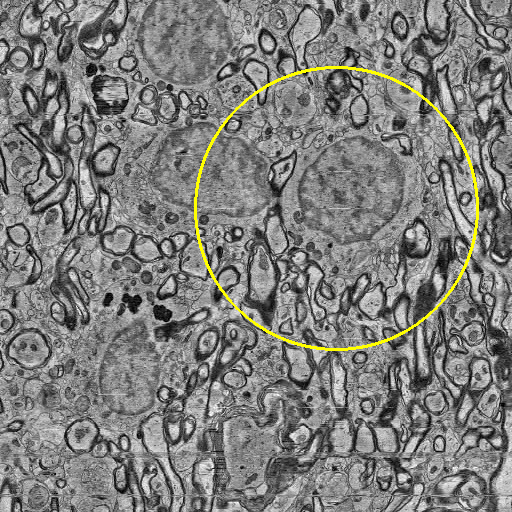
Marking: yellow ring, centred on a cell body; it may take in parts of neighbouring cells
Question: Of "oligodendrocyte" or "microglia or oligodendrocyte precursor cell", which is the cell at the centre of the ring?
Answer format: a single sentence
The ring surrounds the body of an oligodendrocyte.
